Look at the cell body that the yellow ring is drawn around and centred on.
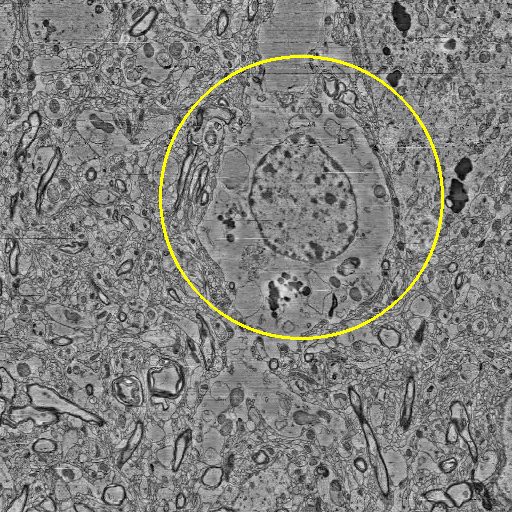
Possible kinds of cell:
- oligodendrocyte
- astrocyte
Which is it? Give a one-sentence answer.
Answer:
The centred cell body is that of an astrocyte.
